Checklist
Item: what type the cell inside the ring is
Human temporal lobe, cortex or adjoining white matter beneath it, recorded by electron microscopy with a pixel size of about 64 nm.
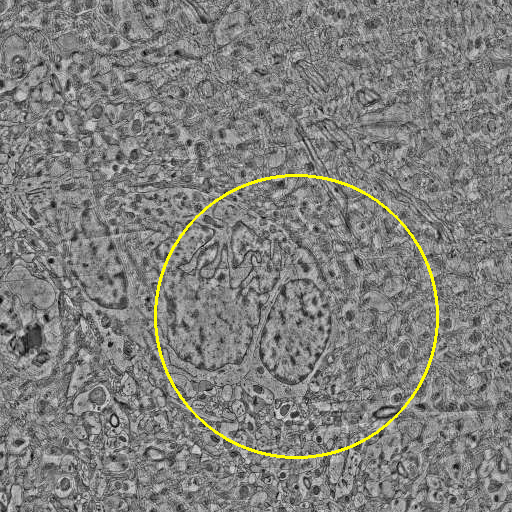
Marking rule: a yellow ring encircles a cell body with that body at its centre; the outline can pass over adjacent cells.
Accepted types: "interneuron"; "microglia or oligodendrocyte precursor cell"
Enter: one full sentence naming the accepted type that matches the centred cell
The entry is that a microglial cell or oligodendrocyte precursor cell lies at the centre of the yellow ring.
